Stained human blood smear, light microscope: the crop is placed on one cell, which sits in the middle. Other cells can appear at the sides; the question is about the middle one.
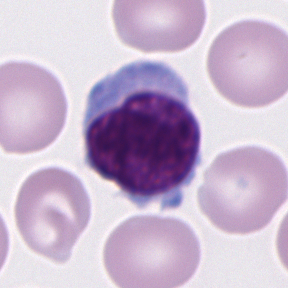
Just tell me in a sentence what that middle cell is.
The cell in the middle of this crop is a lymphocyte.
